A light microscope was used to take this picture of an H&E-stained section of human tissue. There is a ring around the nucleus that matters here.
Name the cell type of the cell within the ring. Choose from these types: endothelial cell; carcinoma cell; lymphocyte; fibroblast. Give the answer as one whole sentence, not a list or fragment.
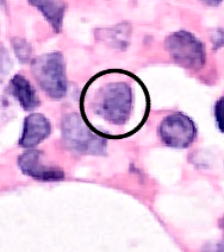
It is as a carcinoma cell that the cell within the ring is recorded.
